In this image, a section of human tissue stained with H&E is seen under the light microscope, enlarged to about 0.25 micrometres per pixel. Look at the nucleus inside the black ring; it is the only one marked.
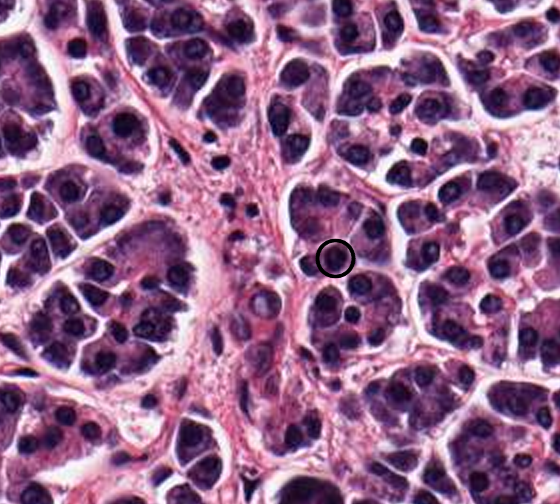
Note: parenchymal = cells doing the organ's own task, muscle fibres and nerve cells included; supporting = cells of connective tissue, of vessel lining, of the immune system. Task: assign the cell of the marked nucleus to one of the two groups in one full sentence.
The nucleus marked here belongs to a parenchymal cell, namely a pancreatic acinar cell.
